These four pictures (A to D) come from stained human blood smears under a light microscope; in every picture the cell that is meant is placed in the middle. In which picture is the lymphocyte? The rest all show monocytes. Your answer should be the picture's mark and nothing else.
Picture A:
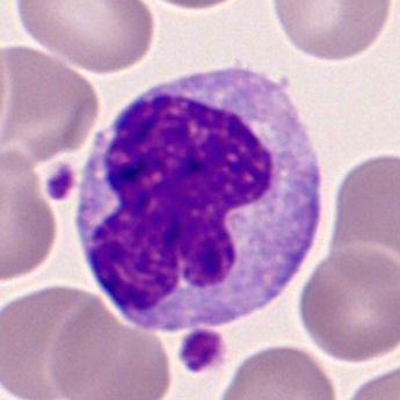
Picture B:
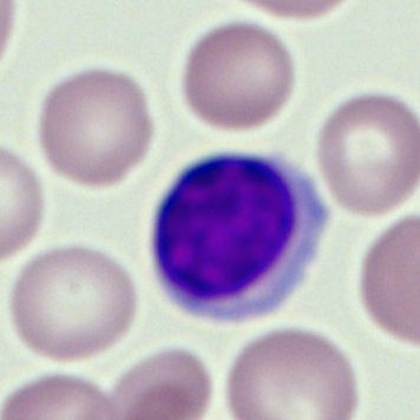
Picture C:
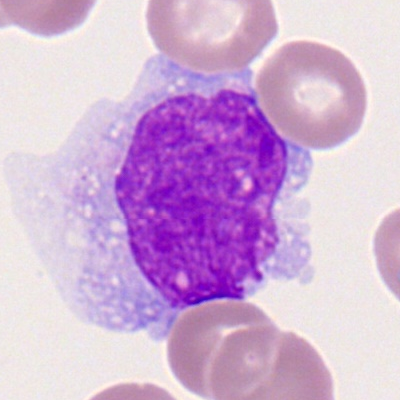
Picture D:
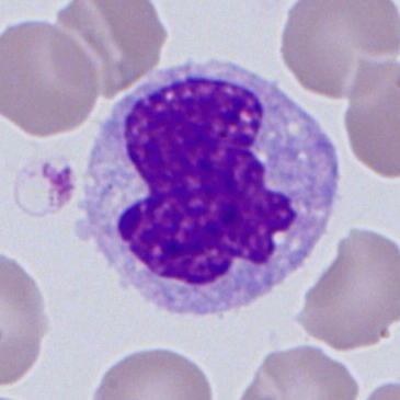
B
